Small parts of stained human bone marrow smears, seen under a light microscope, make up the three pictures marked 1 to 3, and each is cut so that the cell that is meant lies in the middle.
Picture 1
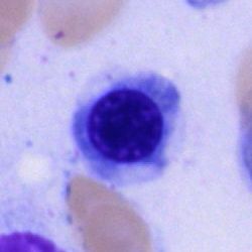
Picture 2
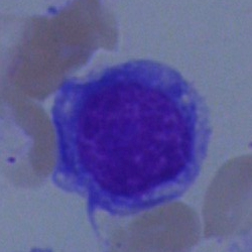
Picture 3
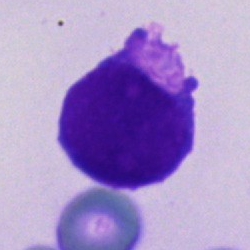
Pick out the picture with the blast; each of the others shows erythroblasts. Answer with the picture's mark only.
3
